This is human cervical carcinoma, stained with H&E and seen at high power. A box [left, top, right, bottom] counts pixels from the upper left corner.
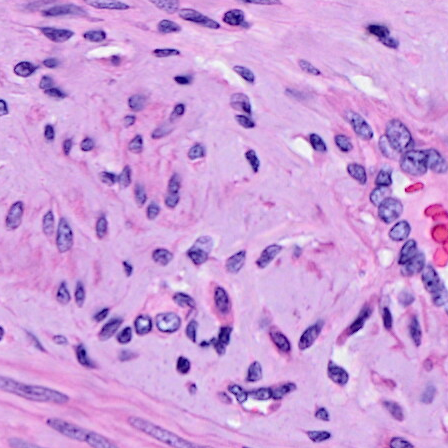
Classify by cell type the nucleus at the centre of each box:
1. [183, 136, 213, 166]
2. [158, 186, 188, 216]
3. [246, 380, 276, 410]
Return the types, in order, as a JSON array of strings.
["smooth muscle cell", "smooth muscle cell", "endothelial cell"]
